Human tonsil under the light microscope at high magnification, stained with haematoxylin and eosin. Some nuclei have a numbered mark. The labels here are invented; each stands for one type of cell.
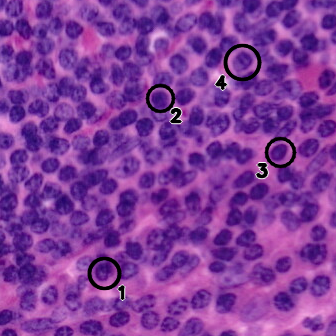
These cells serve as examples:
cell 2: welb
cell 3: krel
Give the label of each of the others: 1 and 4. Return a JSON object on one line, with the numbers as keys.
{"1": "krel", "4": "welb"}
